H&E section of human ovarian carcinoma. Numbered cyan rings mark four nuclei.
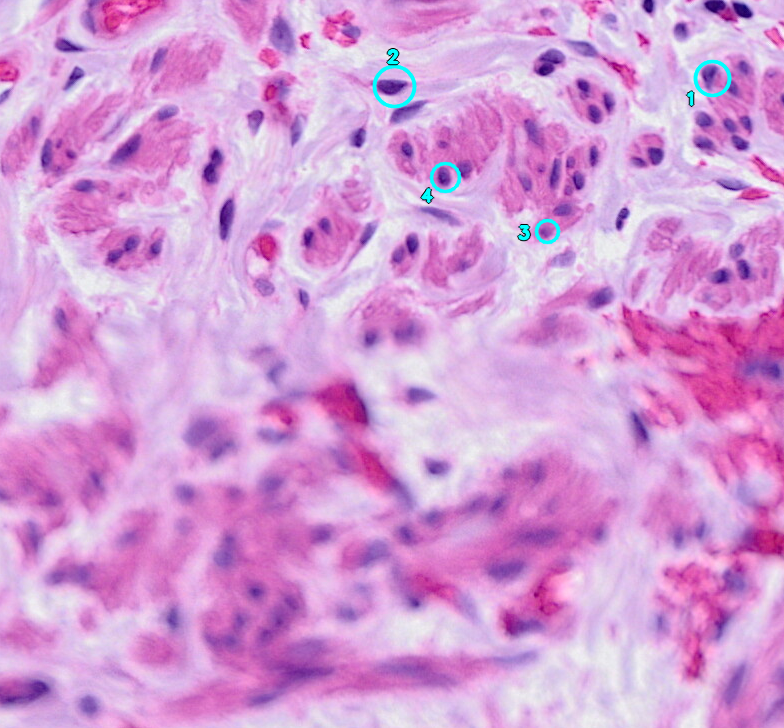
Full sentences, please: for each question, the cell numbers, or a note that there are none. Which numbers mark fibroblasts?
The one cell that is a fibroblast is cell 2, and no other.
